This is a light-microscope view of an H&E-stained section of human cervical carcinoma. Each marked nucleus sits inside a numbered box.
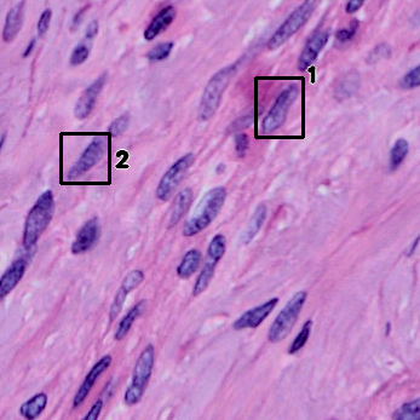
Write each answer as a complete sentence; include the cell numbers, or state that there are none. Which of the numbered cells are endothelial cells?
Only the cell numbered 1 is an endothelial cell; none of the others is.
